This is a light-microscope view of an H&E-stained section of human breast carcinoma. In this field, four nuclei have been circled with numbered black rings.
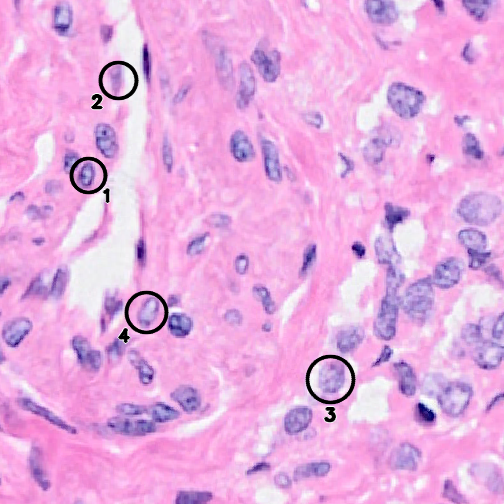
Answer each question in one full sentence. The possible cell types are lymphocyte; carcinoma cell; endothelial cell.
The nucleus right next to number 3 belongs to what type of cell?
Closest to number 3 lies the nucleus of a carcinoma cell.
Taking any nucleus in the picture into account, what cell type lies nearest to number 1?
Closest to number 1 lies the nucleus of an endothelial cell.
